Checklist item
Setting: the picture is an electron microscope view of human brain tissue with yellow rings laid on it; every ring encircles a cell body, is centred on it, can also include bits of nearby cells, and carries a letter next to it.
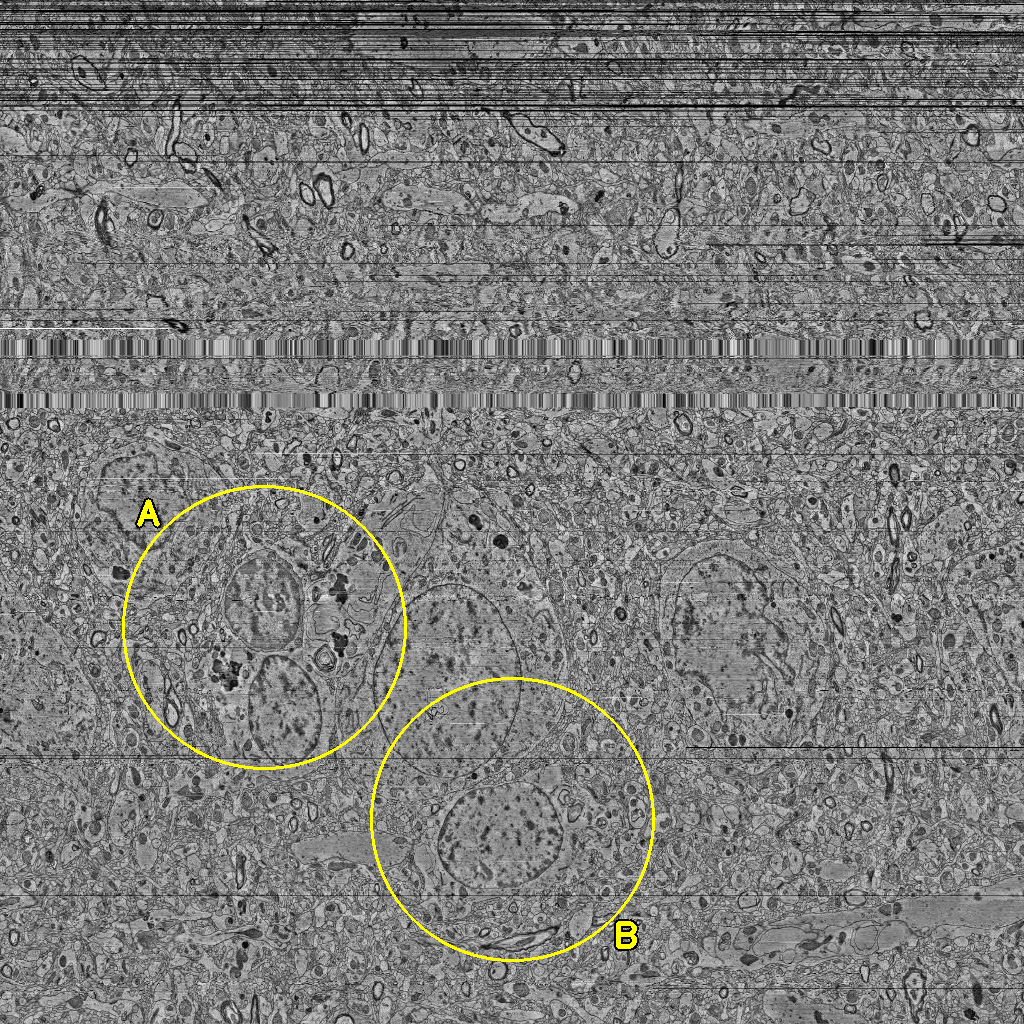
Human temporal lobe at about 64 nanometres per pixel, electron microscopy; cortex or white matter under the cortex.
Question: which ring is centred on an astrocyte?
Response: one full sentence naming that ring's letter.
My response is that ring B has the sought cell at its centre.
